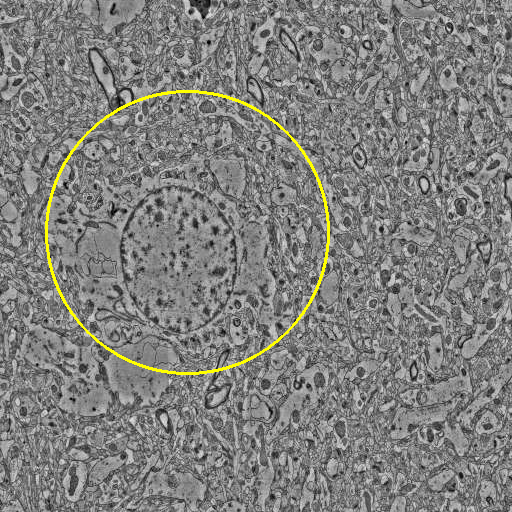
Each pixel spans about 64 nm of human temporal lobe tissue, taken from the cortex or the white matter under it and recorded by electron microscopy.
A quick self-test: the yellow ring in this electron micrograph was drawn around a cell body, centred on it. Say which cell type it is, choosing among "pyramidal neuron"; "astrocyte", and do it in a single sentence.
The yellow-ringed cell is an astrocyte.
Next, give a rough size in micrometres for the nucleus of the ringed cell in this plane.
Approximately 9 x 7 micrometres in this plane.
